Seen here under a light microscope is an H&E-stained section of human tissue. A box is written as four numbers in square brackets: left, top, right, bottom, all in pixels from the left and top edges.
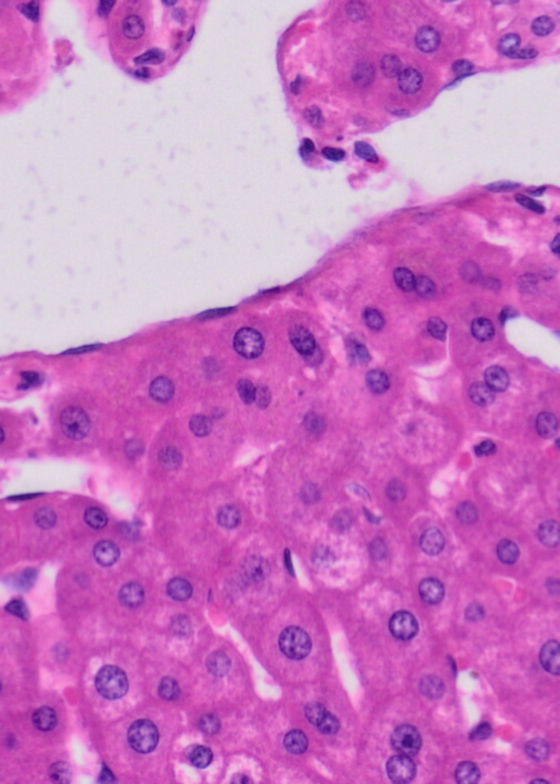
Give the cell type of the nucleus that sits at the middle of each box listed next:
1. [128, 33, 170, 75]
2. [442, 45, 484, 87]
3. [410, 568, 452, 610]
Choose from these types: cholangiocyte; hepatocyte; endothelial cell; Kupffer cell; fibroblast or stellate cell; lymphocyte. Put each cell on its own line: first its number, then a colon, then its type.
1: fibroblast or stellate cell
2: fibroblast or stellate cell
3: hepatocyte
